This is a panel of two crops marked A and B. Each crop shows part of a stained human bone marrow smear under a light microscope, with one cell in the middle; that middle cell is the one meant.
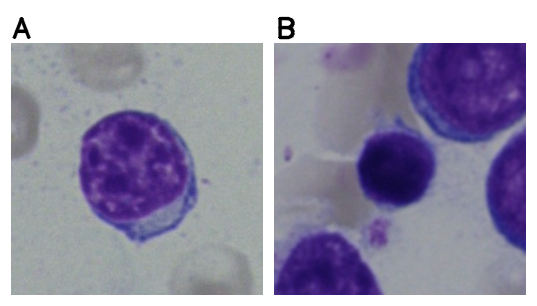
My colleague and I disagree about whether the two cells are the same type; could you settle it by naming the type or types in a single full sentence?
Yes, it is lymphocytes that sit at the centre of both crops.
